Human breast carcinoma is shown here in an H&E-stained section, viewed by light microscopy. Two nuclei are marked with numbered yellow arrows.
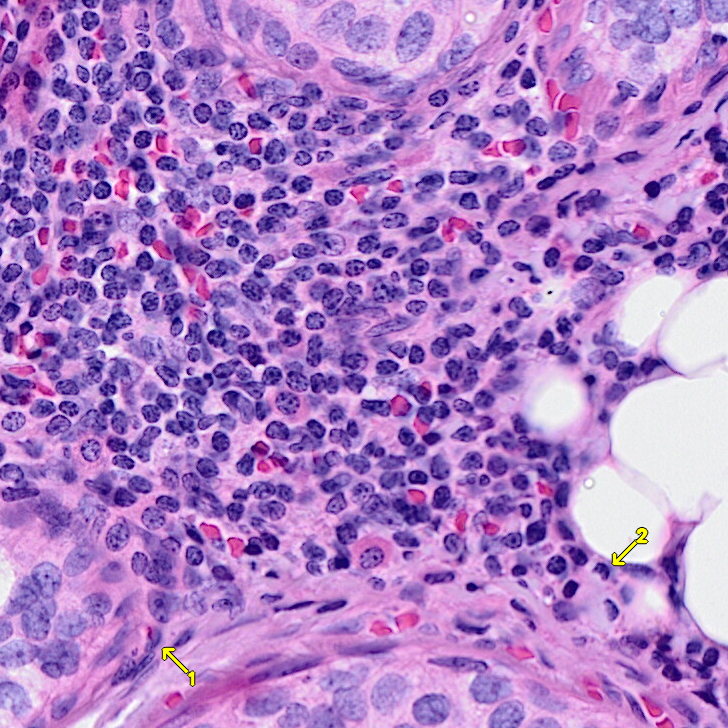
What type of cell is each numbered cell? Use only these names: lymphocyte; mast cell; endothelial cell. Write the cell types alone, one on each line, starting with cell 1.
endothelial cell
lymphocyte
